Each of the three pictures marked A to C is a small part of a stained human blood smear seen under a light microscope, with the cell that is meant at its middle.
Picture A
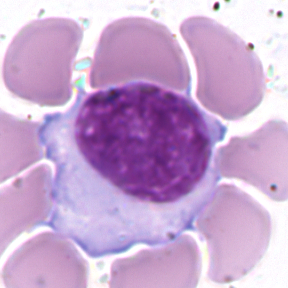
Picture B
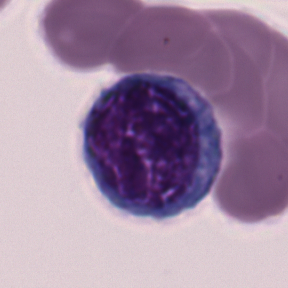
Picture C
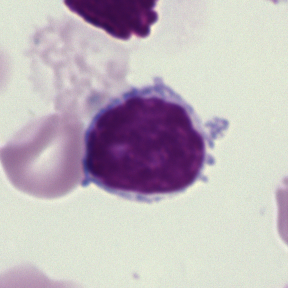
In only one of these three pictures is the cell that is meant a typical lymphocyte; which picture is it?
C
